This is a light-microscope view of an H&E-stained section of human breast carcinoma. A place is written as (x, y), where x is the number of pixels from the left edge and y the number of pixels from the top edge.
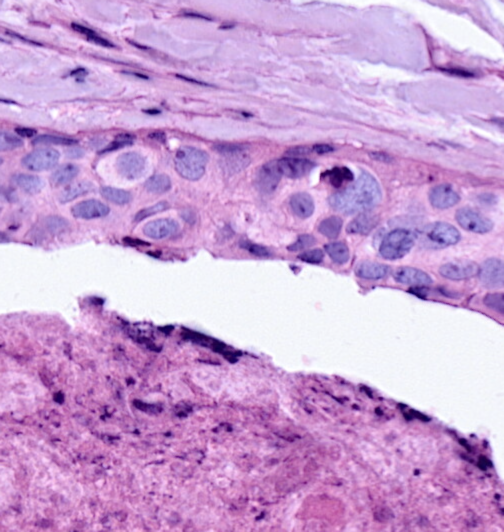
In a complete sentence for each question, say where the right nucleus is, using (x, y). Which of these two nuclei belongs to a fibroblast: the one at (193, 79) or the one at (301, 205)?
Identified as belonging to a fibroblast is the nucleus at (193, 79).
